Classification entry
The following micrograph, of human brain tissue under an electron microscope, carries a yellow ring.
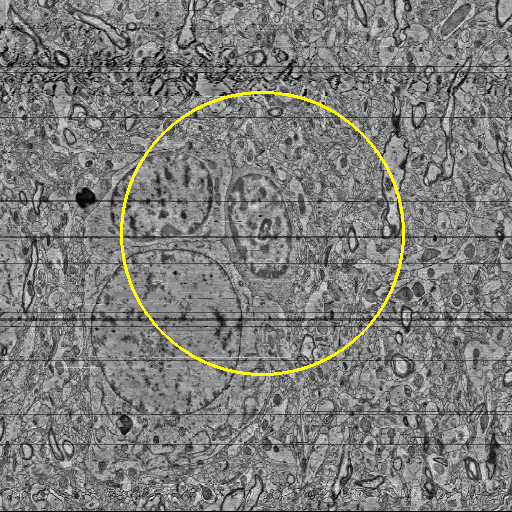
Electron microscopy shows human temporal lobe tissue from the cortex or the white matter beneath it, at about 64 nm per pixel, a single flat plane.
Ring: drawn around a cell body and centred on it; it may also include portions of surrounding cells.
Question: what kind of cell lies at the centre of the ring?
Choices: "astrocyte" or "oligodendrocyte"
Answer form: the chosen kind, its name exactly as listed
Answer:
oligodendrocyte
